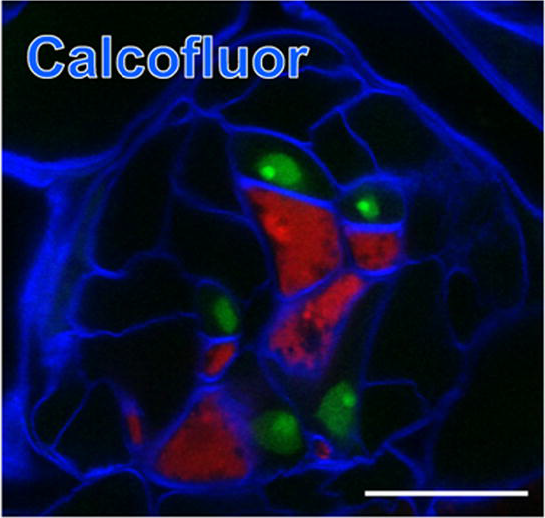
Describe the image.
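Here a small group of plant cells is seen, their walls drawn as blue outlines forming an irregular meshwork of polygons. In the centre lie several larger, angular cells whose interiors are filled with red, and the red is patchy rather than even. Pressed closely against them are smaller cells, each carrying one round, bright green nucleus. The green-nucleated cells sit at the edges and corners of the red cells, so the two kinds are interleaved as a tight cluster. The surrounding cells show only blue walls, with neither red nor green inside.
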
